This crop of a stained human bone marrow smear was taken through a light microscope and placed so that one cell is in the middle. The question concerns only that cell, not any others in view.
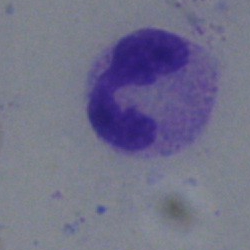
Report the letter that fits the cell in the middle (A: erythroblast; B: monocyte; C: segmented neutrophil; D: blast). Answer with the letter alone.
C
